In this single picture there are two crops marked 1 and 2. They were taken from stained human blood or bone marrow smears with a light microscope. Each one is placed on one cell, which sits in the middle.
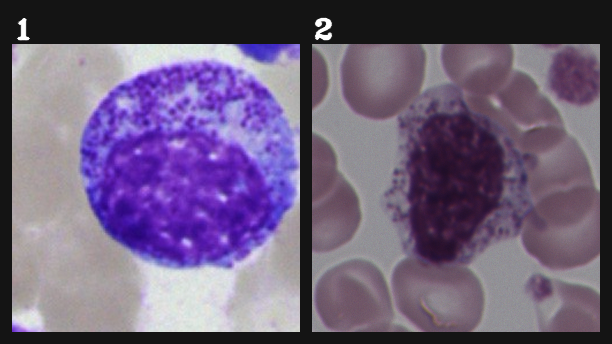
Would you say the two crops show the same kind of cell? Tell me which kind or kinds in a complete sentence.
Yes, both crops depict myelocytes at the centre.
